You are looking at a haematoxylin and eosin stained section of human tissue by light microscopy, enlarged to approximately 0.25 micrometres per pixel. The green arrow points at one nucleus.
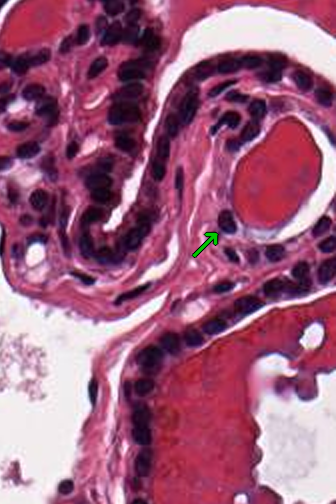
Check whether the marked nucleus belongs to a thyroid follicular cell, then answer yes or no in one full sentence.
Yes, the nucleus that carries the mark belongs to a thyroid follicular cell.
